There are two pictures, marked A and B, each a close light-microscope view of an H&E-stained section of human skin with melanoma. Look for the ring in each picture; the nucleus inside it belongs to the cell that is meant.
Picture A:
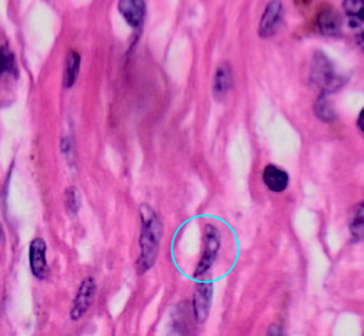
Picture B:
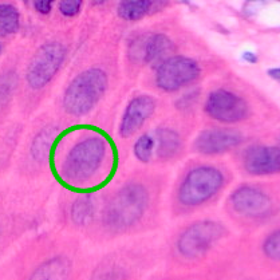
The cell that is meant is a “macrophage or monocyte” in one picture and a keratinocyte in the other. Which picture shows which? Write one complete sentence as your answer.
It is picture A that shows a “macrophage or monocyte”, and picture B that shows a keratinocyte.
